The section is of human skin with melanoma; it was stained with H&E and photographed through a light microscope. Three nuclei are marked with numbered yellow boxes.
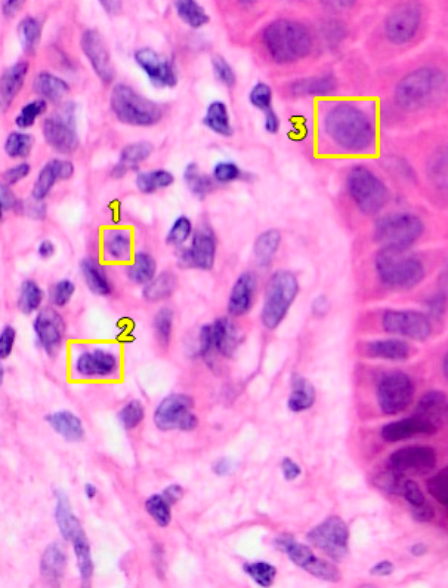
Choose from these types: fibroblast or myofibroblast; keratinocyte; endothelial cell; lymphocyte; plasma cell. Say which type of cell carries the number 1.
endothelial cell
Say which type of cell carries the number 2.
lymphocyte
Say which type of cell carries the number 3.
keratinocyte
